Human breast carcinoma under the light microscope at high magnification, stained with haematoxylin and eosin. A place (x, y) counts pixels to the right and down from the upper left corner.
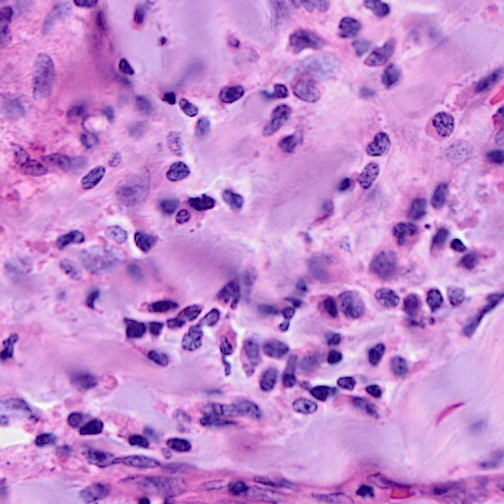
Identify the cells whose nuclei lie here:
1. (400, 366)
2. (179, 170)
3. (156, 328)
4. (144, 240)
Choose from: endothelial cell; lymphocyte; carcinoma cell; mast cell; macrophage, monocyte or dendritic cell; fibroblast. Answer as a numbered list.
1. mast cell
2. lymphocyte
3. lymphocyte
4. lymphocyte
